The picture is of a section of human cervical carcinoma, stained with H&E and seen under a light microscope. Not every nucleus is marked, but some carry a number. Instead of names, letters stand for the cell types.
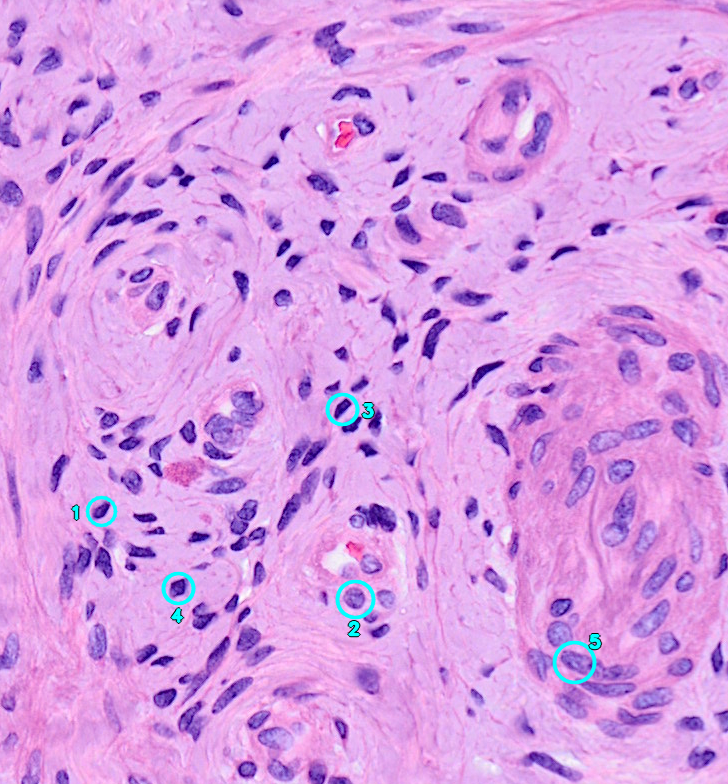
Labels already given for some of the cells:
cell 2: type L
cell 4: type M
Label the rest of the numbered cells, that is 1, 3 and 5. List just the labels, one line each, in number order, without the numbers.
type M
type M
type L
